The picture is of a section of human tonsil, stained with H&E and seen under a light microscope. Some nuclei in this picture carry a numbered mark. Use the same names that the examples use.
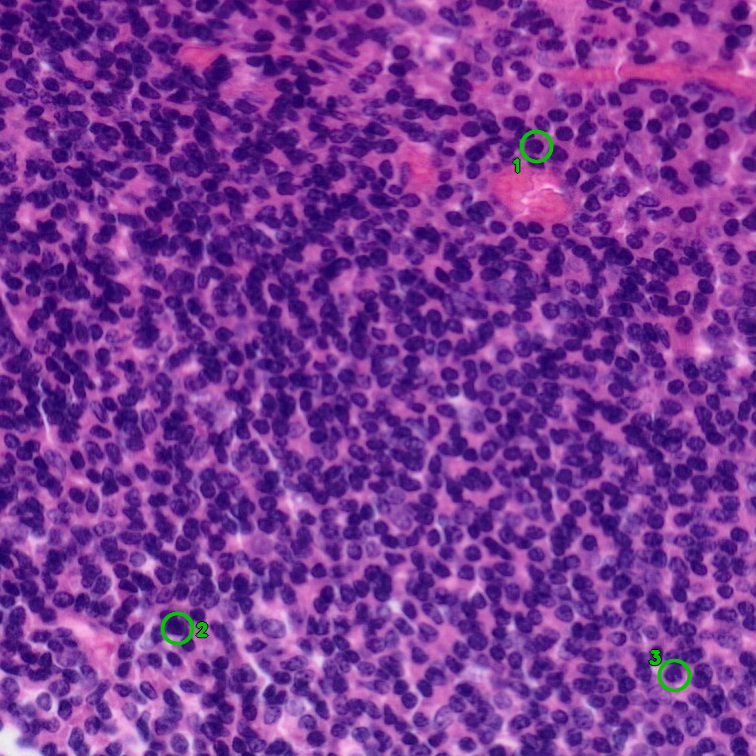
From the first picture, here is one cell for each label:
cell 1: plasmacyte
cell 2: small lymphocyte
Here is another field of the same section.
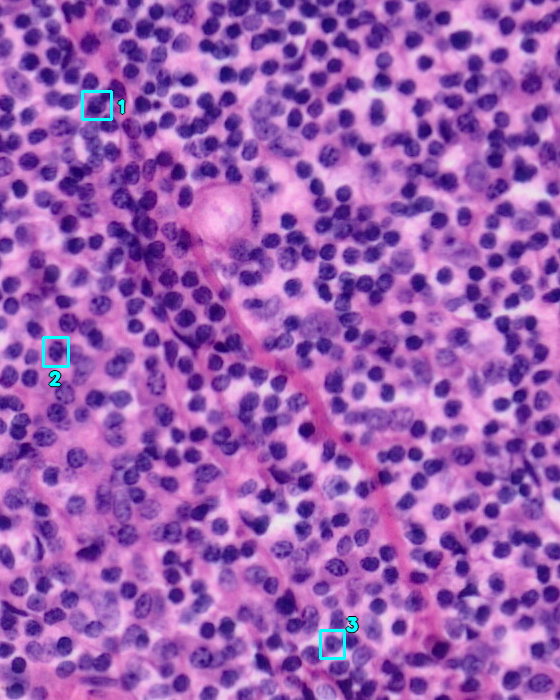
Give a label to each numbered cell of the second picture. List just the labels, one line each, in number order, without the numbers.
small lymphocyte
plasmacyte
small lymphocyte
